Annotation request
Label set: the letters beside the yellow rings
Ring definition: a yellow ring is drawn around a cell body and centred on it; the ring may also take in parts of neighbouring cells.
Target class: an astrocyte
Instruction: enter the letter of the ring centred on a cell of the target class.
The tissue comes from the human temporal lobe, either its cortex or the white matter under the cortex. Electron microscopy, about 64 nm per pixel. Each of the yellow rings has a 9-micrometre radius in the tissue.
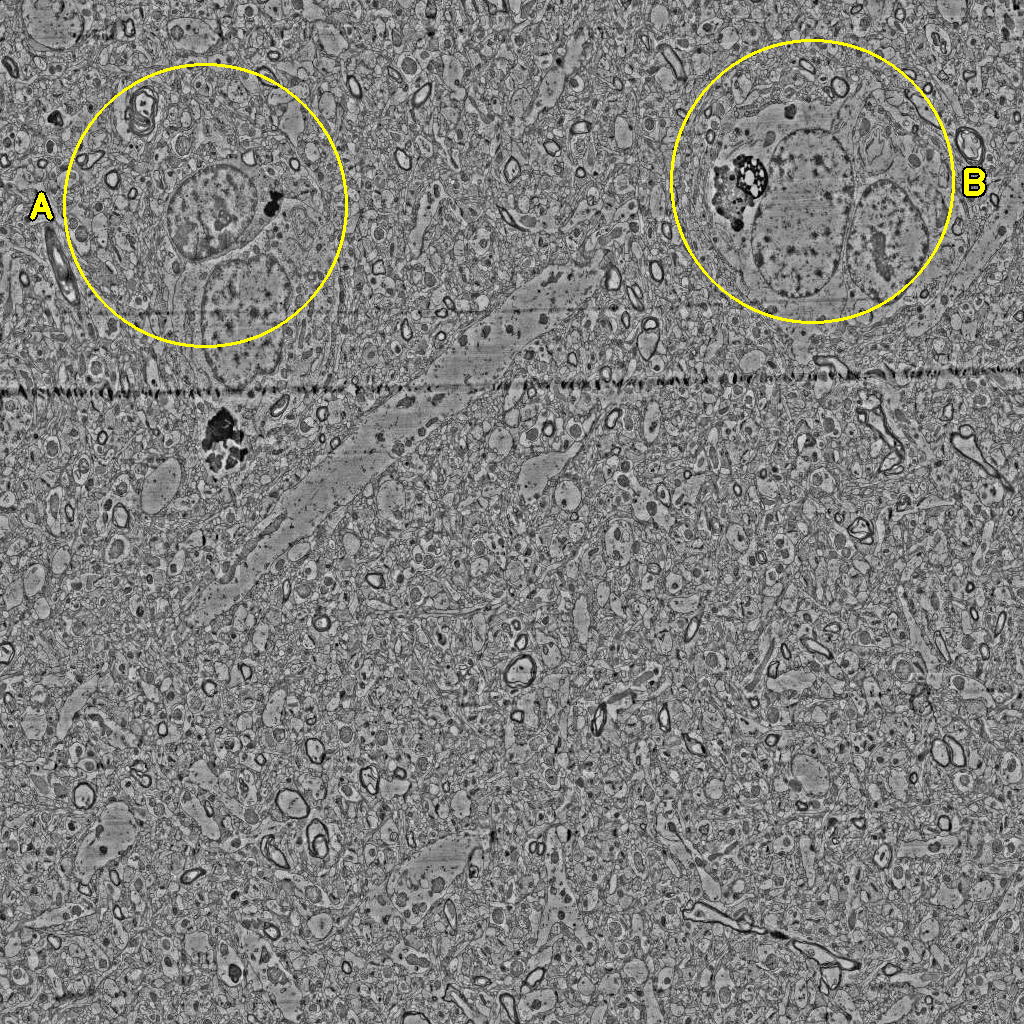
B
